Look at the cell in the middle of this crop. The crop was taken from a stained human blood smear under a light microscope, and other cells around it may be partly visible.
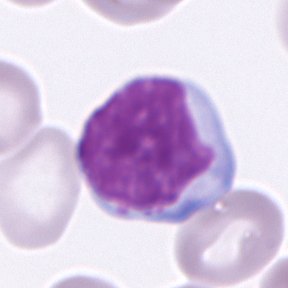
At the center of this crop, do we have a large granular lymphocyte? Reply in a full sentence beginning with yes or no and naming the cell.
Yes, a large granular lymphocyte is what the central cell is.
